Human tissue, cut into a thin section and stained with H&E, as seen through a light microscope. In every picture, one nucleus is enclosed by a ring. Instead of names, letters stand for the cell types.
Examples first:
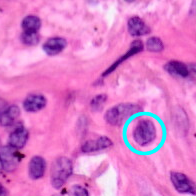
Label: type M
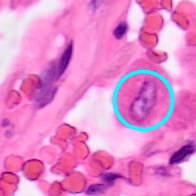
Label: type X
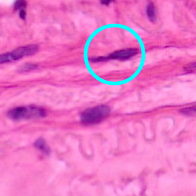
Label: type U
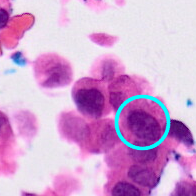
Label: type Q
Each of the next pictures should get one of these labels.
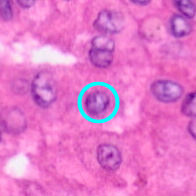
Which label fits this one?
type X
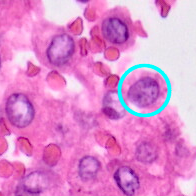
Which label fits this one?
type X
